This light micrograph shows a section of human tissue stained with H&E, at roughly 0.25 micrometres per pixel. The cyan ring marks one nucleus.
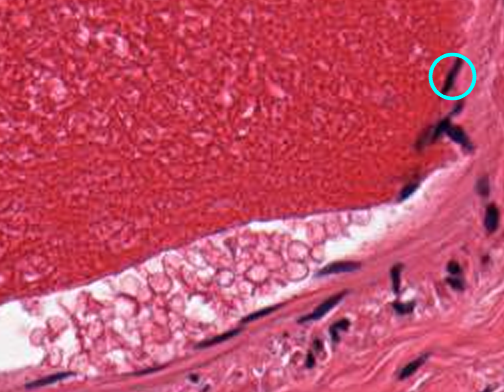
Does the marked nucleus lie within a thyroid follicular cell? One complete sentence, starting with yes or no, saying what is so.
No, the marked nucleus is part of a supporting cell and does not belong to a thyroid follicular cell.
